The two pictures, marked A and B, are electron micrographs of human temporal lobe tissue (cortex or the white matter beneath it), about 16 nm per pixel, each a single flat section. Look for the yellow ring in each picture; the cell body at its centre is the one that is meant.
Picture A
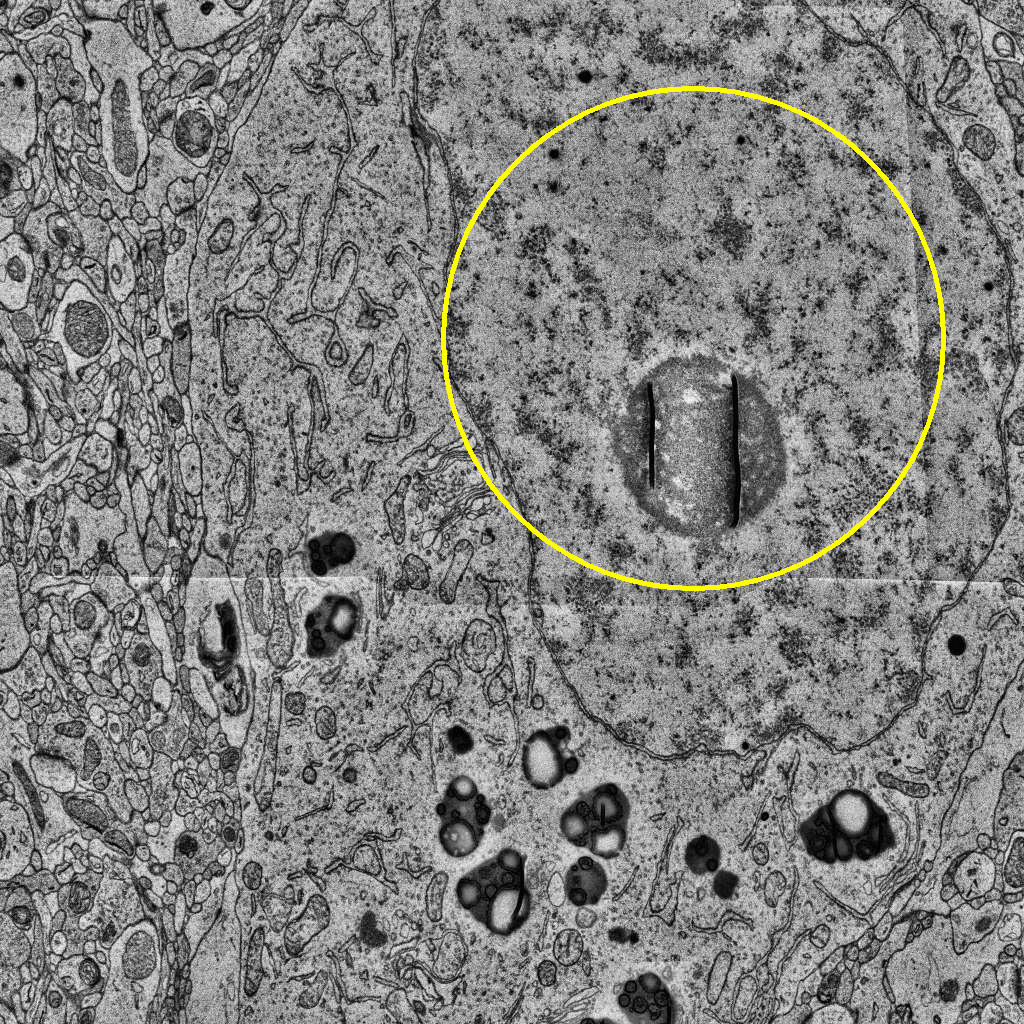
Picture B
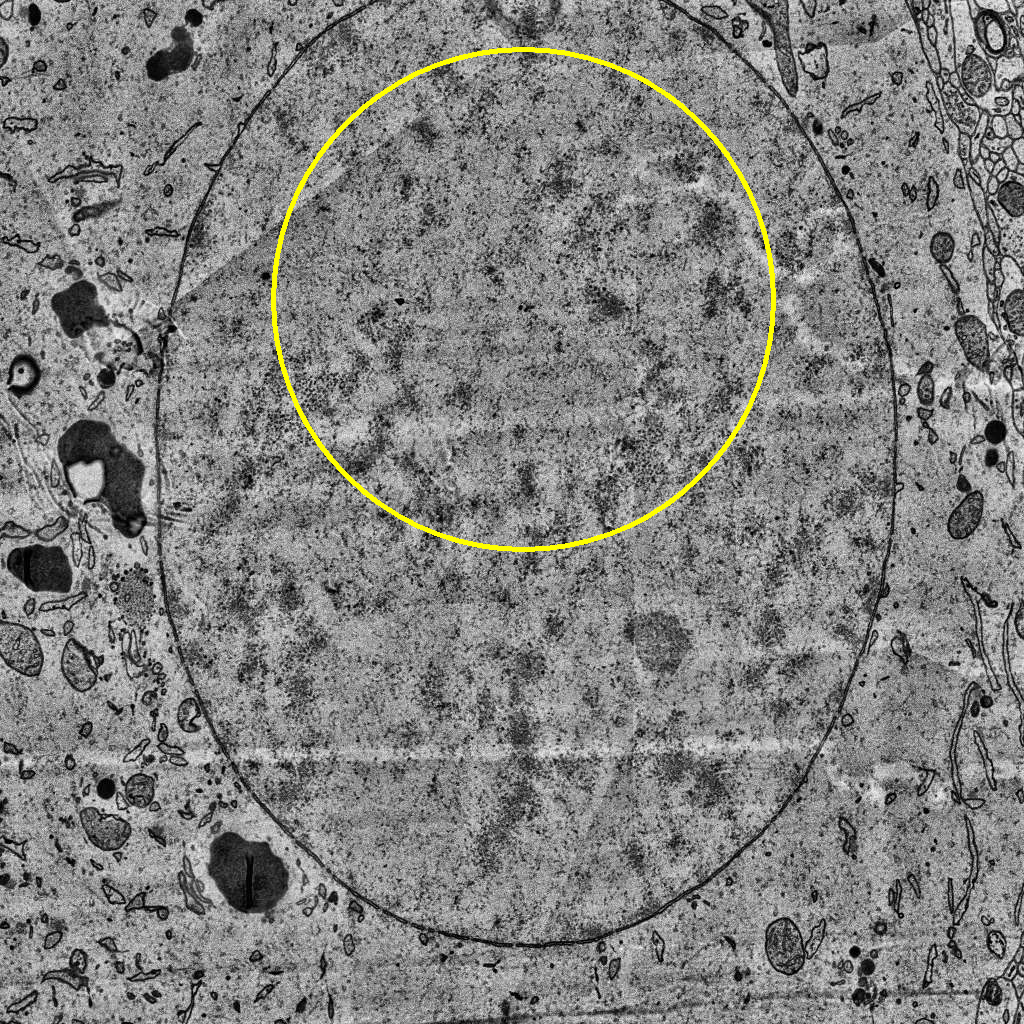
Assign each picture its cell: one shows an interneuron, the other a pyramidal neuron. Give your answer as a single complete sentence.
Picture A is of an interneuron, and picture B is of a pyramidal neuron.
